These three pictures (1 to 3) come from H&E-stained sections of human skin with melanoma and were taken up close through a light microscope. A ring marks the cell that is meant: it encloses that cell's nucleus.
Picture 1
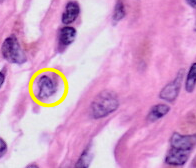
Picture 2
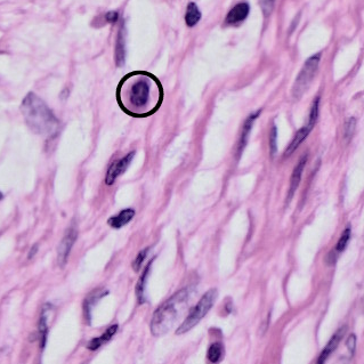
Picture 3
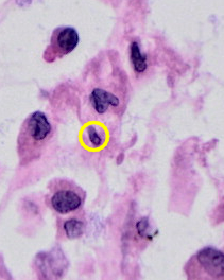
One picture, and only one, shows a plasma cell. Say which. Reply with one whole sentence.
Picture 2 shows the plasma cell.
